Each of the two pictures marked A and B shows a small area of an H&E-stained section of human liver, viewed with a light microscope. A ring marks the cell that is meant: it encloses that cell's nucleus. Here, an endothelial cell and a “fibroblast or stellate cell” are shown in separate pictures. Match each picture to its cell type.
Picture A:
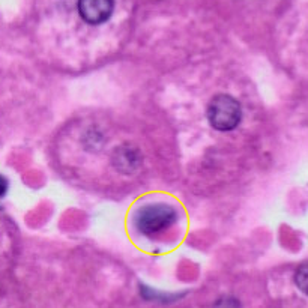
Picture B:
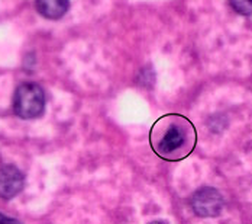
A: endothelial cell
B: fibroblast or stellate cell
